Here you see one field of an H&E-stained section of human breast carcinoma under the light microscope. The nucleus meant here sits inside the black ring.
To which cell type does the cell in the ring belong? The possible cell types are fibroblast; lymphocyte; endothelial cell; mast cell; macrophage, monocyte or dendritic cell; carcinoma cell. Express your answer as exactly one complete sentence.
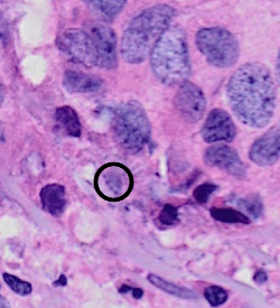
Among the cells in this section, the cell in the ring is a macrophage, monocyte or dendritic cell.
